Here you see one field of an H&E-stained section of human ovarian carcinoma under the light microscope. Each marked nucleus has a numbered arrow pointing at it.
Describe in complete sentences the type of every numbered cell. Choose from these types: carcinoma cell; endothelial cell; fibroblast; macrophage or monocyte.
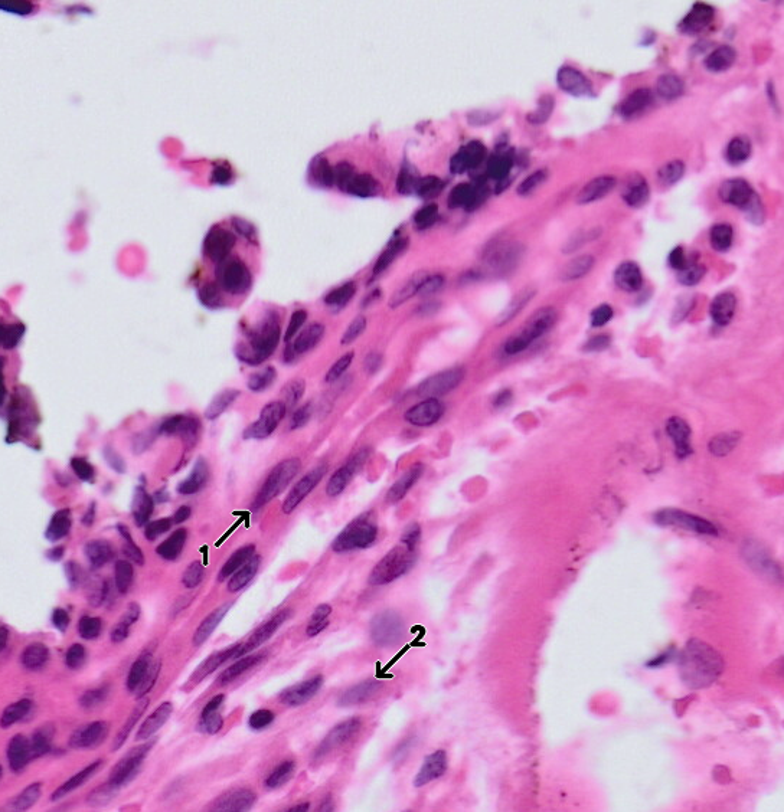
Cell 1 is an endothelial cell and cell 2 is a fibroblast.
